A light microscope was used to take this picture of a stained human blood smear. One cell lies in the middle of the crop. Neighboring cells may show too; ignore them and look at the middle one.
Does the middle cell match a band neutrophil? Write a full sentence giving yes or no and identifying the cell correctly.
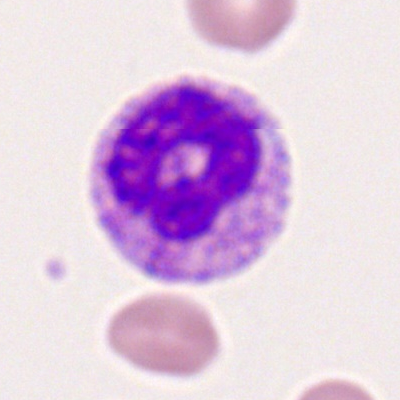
Yes, the cell occupying the center is a band neutrophil.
